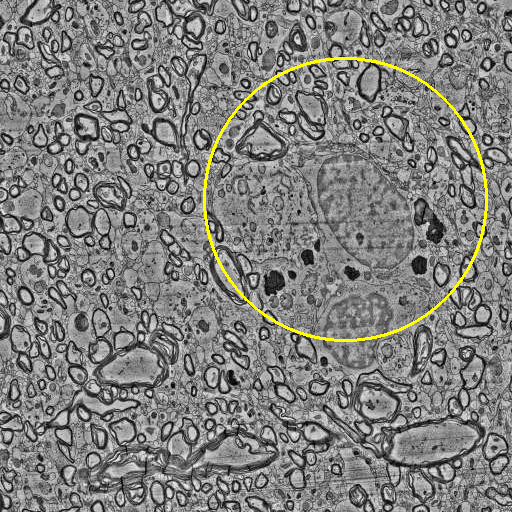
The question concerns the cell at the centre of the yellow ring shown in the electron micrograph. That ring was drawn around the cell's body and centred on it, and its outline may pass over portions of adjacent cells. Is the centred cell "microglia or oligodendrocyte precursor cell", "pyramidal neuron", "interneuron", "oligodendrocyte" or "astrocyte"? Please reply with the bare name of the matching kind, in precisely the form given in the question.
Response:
oligodendrocyte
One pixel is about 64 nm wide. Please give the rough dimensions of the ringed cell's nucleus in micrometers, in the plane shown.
The nucleus measures about 8 by 5 micrometres in this plane.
